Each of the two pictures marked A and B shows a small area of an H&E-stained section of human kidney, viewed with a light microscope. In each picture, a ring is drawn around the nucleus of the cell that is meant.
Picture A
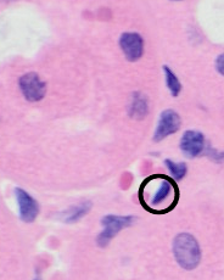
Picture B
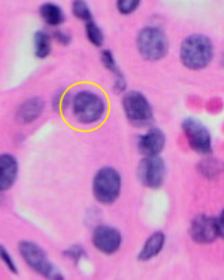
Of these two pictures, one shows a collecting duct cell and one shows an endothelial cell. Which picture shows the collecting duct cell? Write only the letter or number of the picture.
B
